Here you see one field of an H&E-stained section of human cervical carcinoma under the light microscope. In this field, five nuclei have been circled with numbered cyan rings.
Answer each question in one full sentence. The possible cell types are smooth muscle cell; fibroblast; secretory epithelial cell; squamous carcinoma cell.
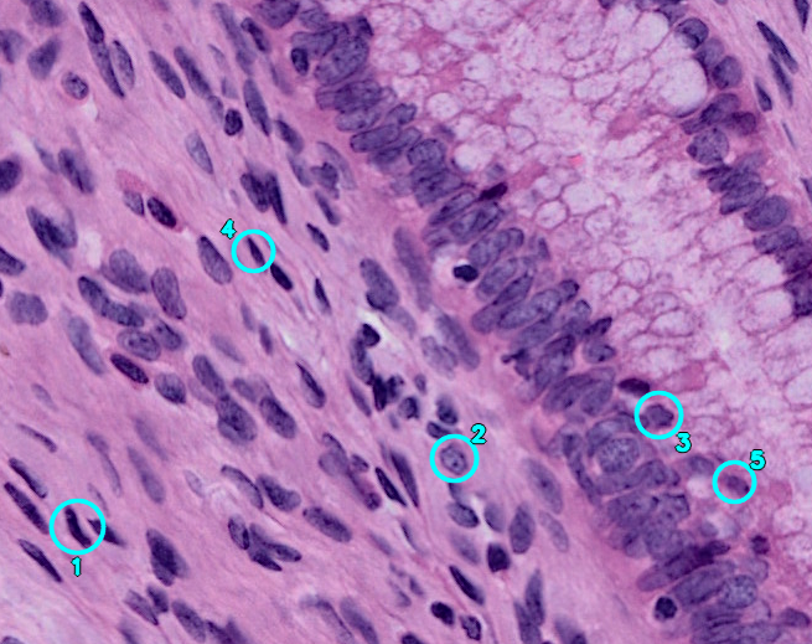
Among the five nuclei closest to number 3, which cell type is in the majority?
Around number 3, most of the five nearest nuclei are those of secretory epithelial cells.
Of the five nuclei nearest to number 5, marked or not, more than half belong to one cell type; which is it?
Secretory epithelial cells make up most of the five nuclei closest to number 5.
